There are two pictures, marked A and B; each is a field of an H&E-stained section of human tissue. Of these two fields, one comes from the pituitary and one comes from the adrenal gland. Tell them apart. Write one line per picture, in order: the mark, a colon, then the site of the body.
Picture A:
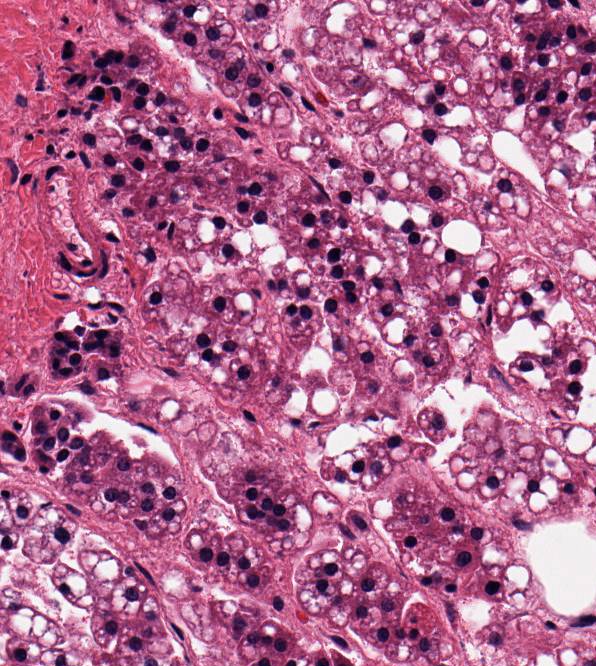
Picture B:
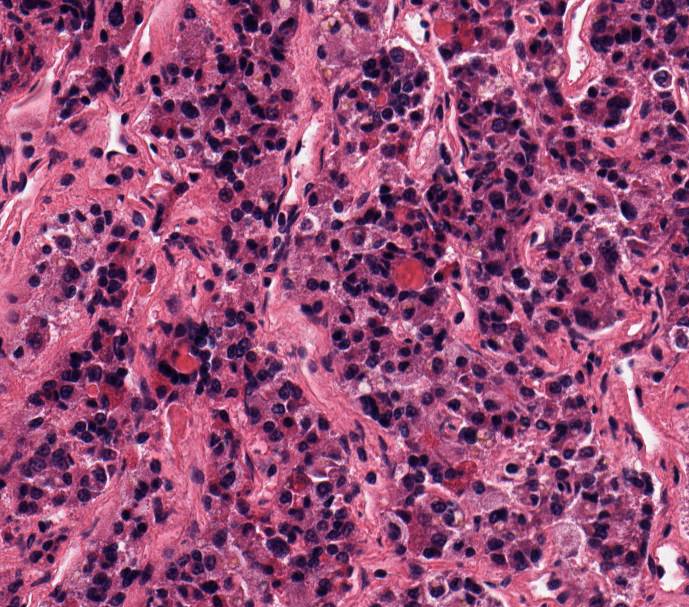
A: adrenal gland
B: pituitary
